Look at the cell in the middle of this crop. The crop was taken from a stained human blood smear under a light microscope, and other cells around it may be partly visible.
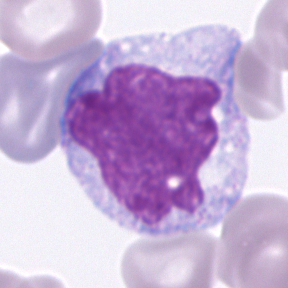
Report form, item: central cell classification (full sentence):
The cell that lies at the centre of the crop is a monocyte.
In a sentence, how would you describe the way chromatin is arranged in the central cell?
Chromatin texture is fine, and coarse clumps are absent.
